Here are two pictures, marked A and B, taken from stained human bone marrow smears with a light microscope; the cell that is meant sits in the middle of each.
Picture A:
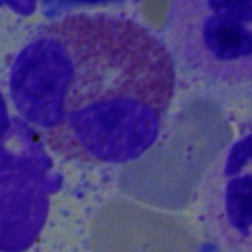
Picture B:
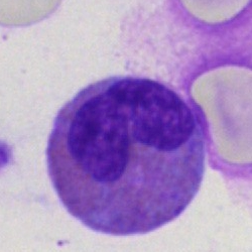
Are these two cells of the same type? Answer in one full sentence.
Yes; the cells in both pictures are eosinophils.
